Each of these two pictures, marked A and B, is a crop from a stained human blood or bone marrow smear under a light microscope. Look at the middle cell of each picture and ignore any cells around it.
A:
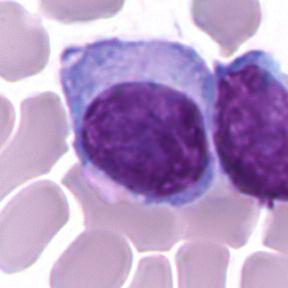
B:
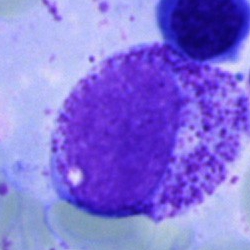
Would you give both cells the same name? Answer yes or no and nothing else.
no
